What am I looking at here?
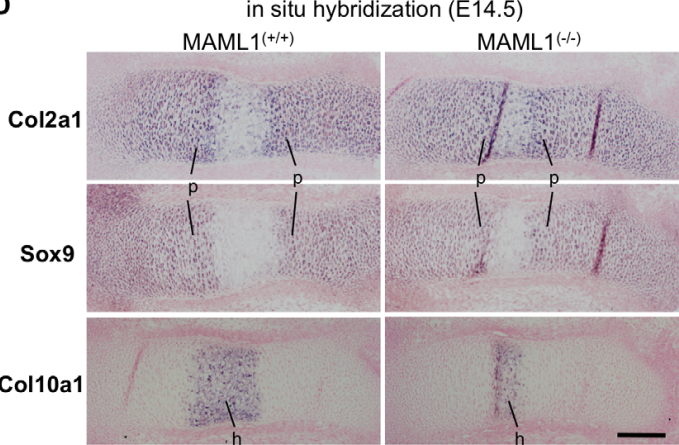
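In the upper two rows, the ends of each rudiment carry diffuse purple signal over small, densely packed chondrocytes. The centre of the rudiment in these rows is paler and holds larger, more rounded cells. In the bottom row, purple signal is confined to the central region of enlarged cells, and the ends are unstained.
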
